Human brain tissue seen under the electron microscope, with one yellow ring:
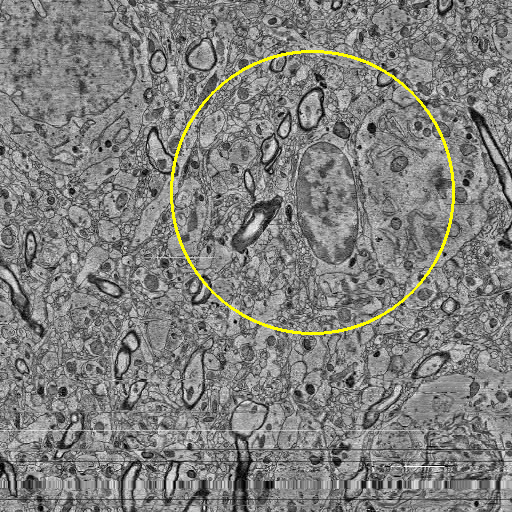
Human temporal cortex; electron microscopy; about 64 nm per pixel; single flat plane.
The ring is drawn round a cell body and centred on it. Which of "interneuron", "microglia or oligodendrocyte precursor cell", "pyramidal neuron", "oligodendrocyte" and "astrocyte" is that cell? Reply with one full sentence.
The picture shows a microglial cell or oligodendrocyte precursor cell at the very centre of the yellow ring.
